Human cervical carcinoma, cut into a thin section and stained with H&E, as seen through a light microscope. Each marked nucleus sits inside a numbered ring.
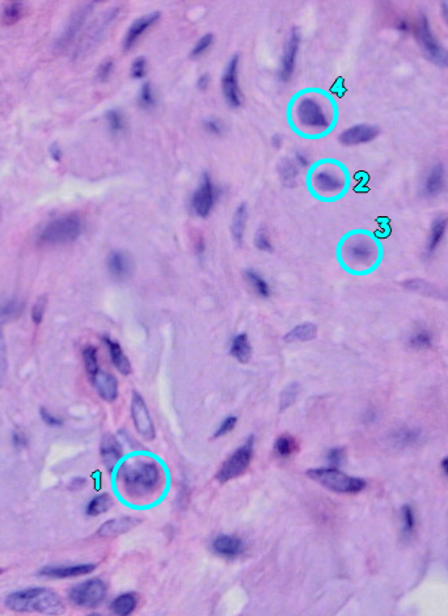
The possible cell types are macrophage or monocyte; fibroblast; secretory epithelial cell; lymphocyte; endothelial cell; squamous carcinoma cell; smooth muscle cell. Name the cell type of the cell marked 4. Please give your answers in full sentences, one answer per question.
The cell indicated with the number 4 is classed as a fibroblast.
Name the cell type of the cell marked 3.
The cell whose nucleus carries the number 3 is a fibroblast.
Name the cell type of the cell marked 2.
The nucleus labelled 2 belongs to a fibroblast.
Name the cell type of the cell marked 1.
The cell whose nucleus carries the number 1 is an endothelial cell.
